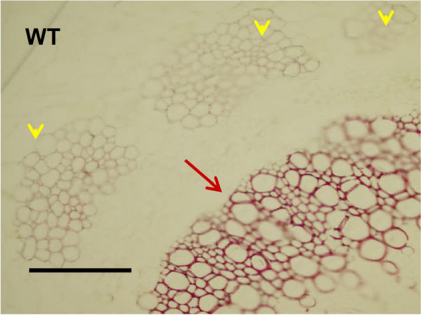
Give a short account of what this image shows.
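This transverse section of a stem shows xylem tissue and separate patches of sclerenchyma. The xylem forms a broad zone in the lower part whose cell walls stain distinctly red. Wide rounded openings lie among smaller angular cells within this zone. Above it lie several discrete patches of small, tightly packed cells whose walls are only faintly pink. Between these structures the tissue appears pale and unstained.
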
